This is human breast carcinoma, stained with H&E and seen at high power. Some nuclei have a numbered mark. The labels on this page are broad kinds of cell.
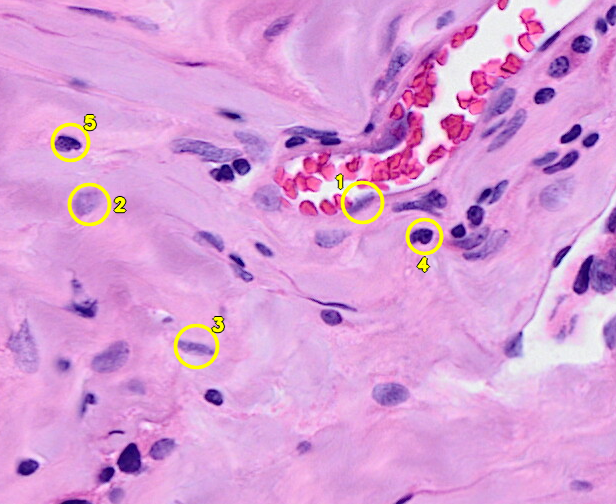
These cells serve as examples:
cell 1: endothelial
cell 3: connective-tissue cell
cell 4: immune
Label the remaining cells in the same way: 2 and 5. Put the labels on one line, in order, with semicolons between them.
connective-tissue cell; immune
